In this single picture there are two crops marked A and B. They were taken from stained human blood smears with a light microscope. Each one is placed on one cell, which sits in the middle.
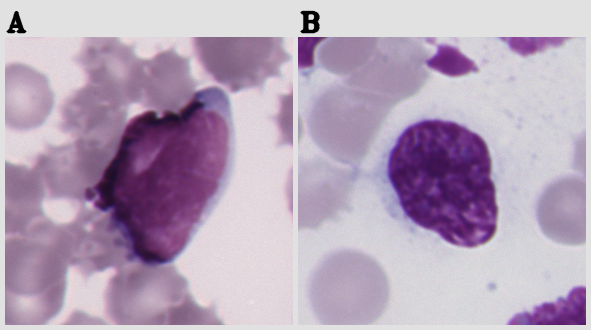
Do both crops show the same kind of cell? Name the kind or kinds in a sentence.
Yes, at the centre of both crops are myeloblasts.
